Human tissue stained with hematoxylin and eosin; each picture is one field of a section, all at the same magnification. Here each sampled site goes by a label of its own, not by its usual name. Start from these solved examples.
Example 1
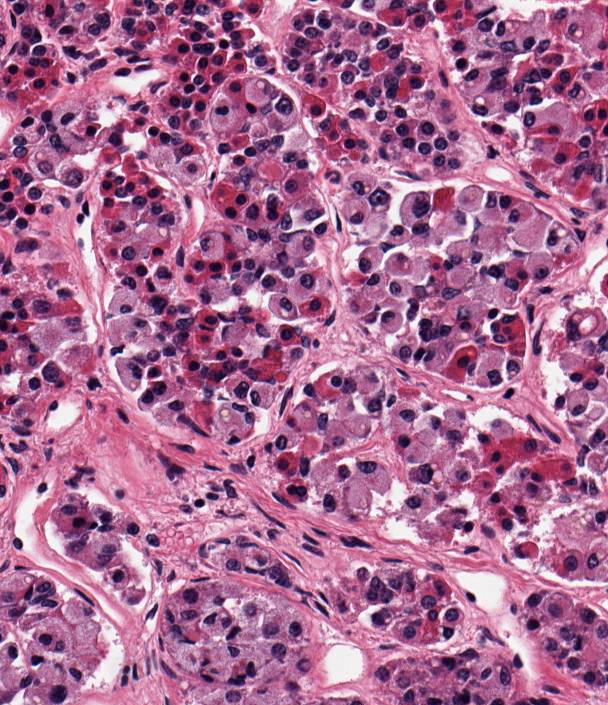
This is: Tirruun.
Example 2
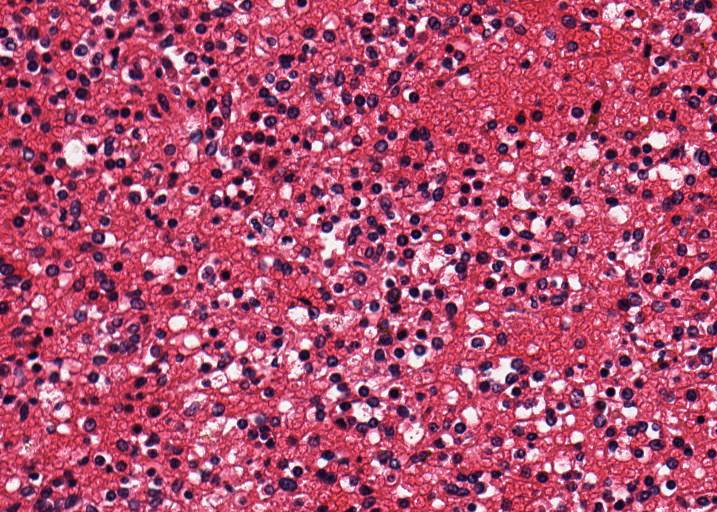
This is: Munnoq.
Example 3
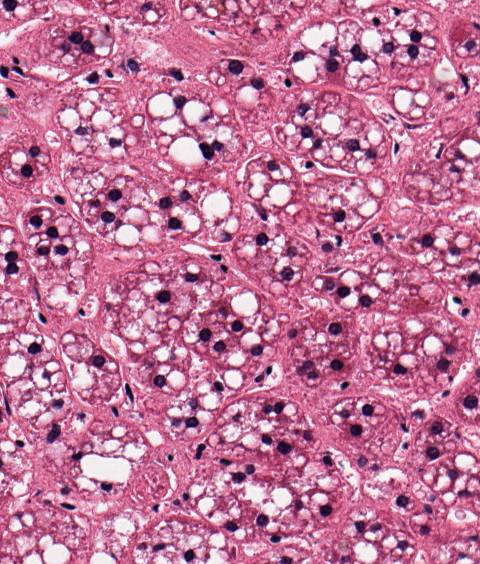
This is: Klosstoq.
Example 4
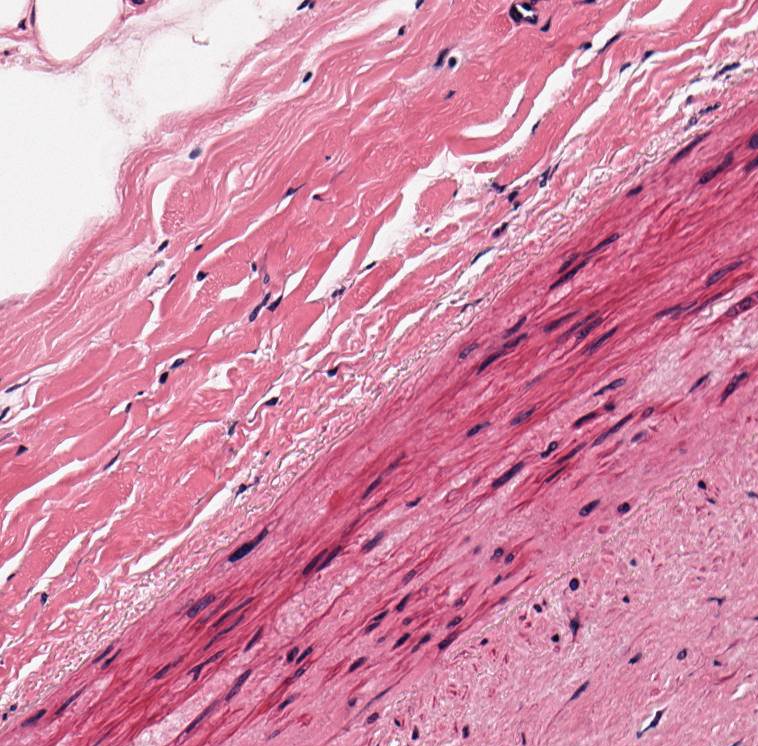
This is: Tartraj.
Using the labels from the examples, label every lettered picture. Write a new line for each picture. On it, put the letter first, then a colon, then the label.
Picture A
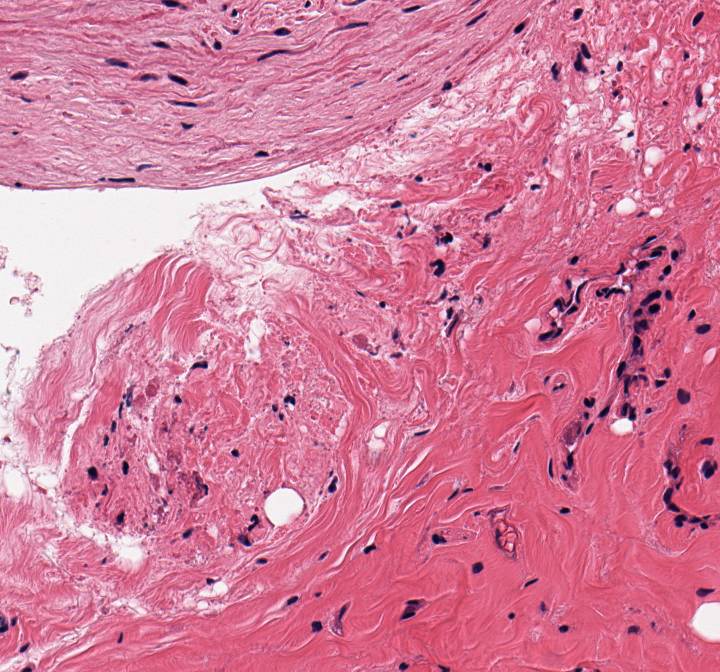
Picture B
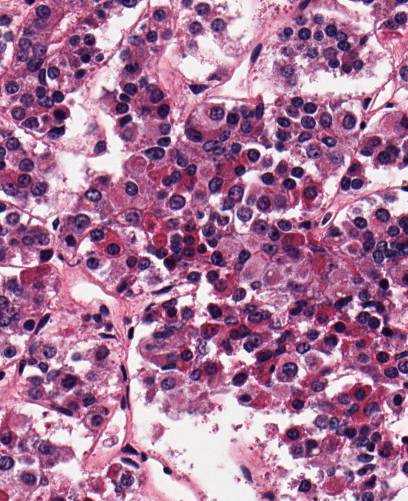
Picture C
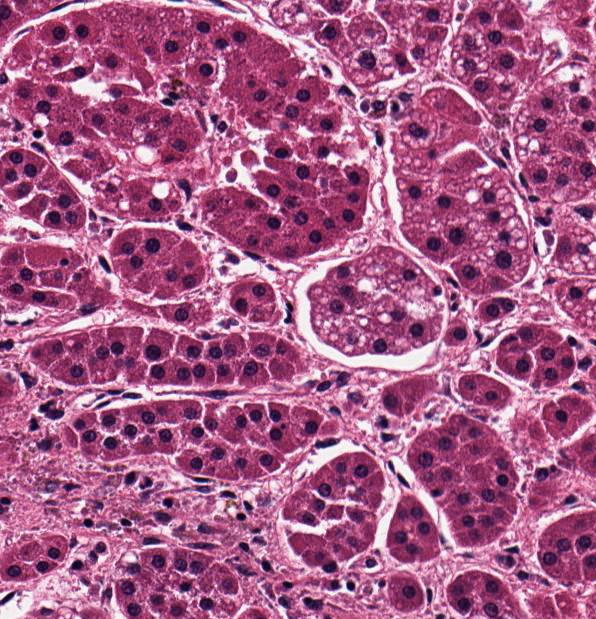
A: Tartraj.
B: Tirruun.
C: Klosstoq.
